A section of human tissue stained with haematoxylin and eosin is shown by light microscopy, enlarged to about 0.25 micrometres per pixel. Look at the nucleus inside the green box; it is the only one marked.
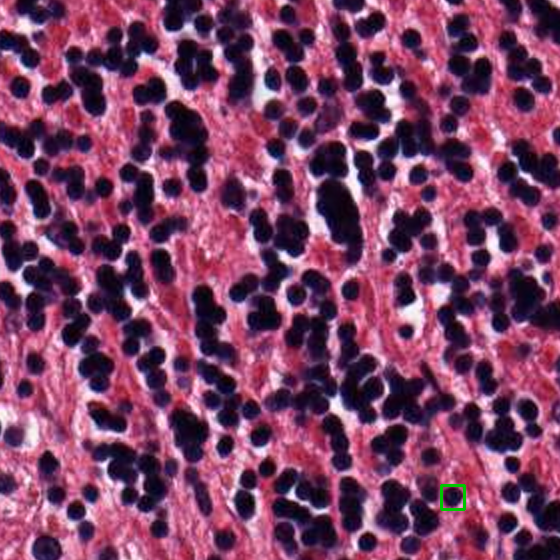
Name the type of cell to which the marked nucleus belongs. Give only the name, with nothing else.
cerebellar granule cell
